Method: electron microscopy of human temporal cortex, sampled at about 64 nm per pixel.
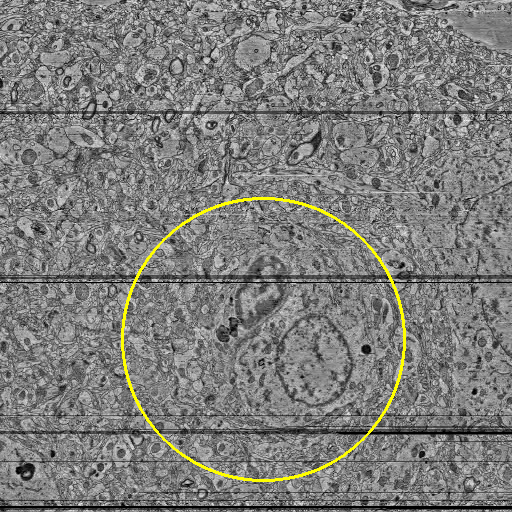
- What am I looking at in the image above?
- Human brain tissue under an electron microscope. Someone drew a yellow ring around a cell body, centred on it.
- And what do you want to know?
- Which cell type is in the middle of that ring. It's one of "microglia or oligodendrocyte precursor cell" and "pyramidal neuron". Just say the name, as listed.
microglia or oligodendrocyte precursor cell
